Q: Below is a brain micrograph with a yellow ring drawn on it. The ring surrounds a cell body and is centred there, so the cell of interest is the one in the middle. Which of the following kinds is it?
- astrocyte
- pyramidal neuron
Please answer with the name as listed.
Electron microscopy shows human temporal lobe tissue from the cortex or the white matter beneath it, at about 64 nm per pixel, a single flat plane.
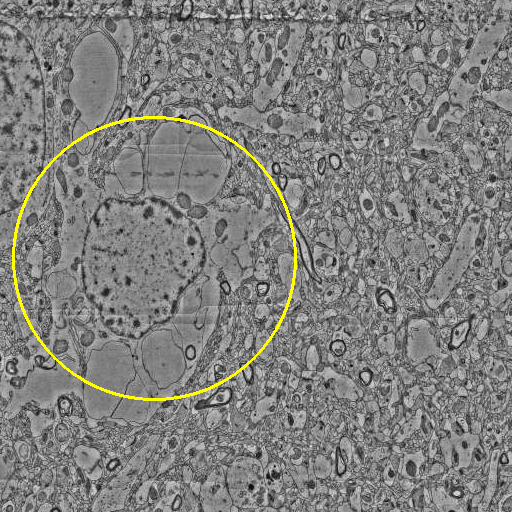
astrocyte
